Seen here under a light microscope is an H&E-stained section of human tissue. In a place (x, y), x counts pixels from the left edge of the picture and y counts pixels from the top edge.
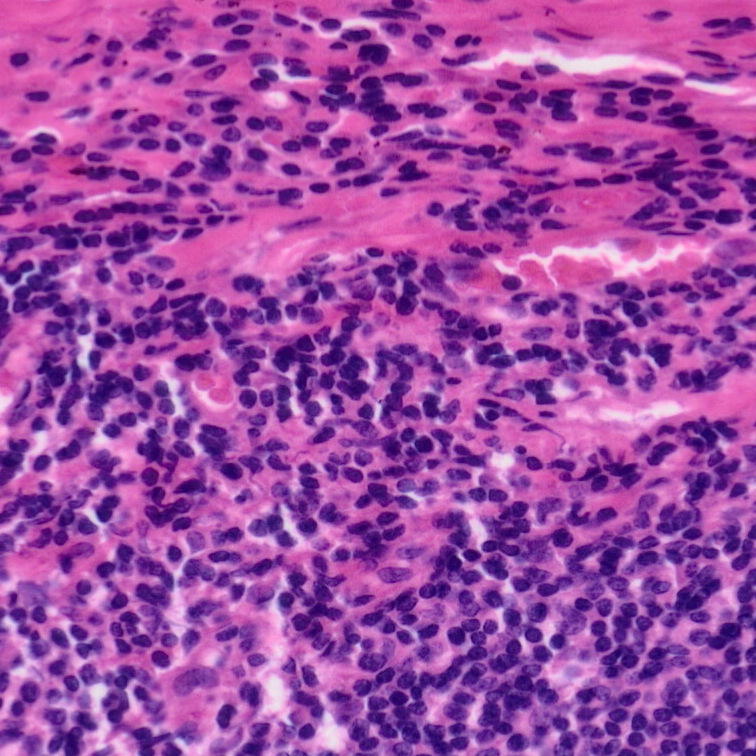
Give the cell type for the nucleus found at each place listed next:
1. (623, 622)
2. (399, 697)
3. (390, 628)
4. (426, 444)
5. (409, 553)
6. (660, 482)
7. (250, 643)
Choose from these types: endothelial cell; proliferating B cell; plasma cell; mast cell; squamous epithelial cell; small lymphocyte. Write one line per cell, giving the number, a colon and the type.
1: small lymphocyte
2: small lymphocyte
3: small lymphocyte
4: small lymphocyte
5: endothelial cell
6: endothelial cell
7: endothelial cell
